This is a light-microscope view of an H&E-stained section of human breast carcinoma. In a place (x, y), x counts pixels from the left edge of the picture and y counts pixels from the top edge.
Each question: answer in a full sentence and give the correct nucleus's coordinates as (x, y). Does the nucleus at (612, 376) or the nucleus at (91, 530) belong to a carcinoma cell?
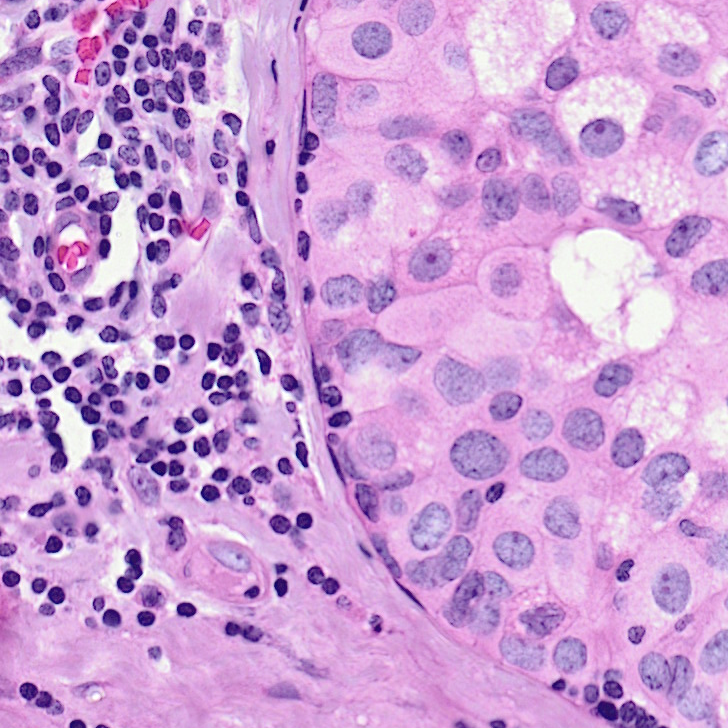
The cell to which the nucleus at (612, 376) belongs is a carcinoma cell.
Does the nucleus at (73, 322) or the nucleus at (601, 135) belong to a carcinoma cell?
The nucleus that belongs to a carcinoma cell is located at (601, 135).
